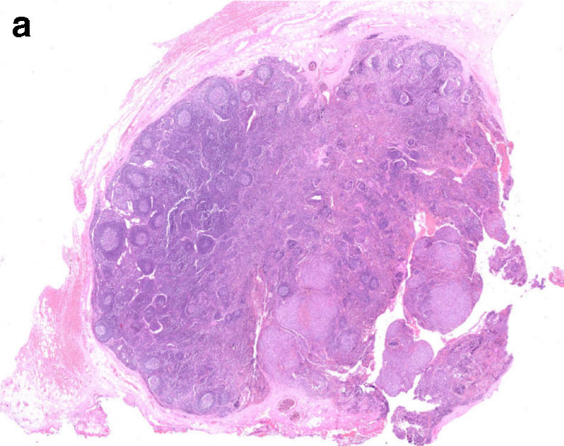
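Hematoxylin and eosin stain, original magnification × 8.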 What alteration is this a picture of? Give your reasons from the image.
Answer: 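At the lower right, several paler pink rounded nodules stand apart from the dark blue lymphoid tissue. These nodules have fairly sharp borders.
Relatively circumscribed nodules.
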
